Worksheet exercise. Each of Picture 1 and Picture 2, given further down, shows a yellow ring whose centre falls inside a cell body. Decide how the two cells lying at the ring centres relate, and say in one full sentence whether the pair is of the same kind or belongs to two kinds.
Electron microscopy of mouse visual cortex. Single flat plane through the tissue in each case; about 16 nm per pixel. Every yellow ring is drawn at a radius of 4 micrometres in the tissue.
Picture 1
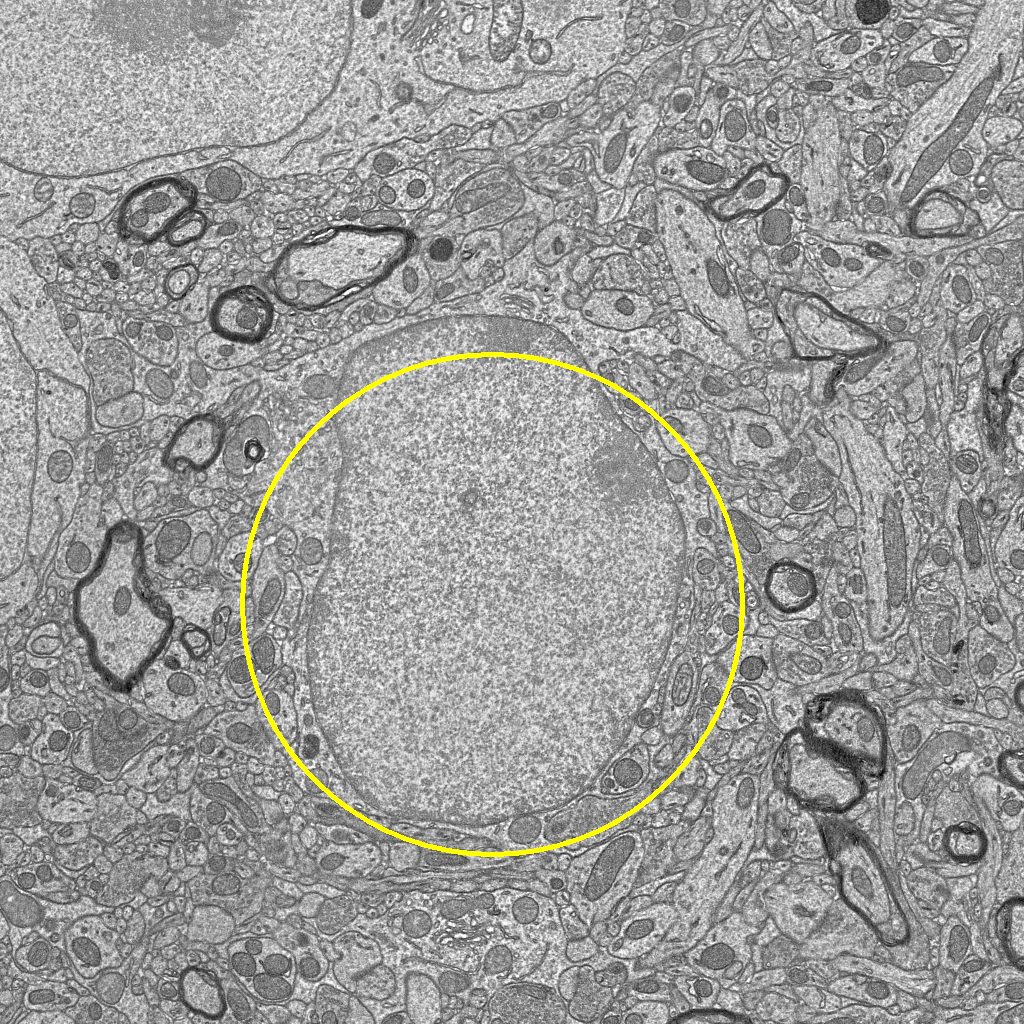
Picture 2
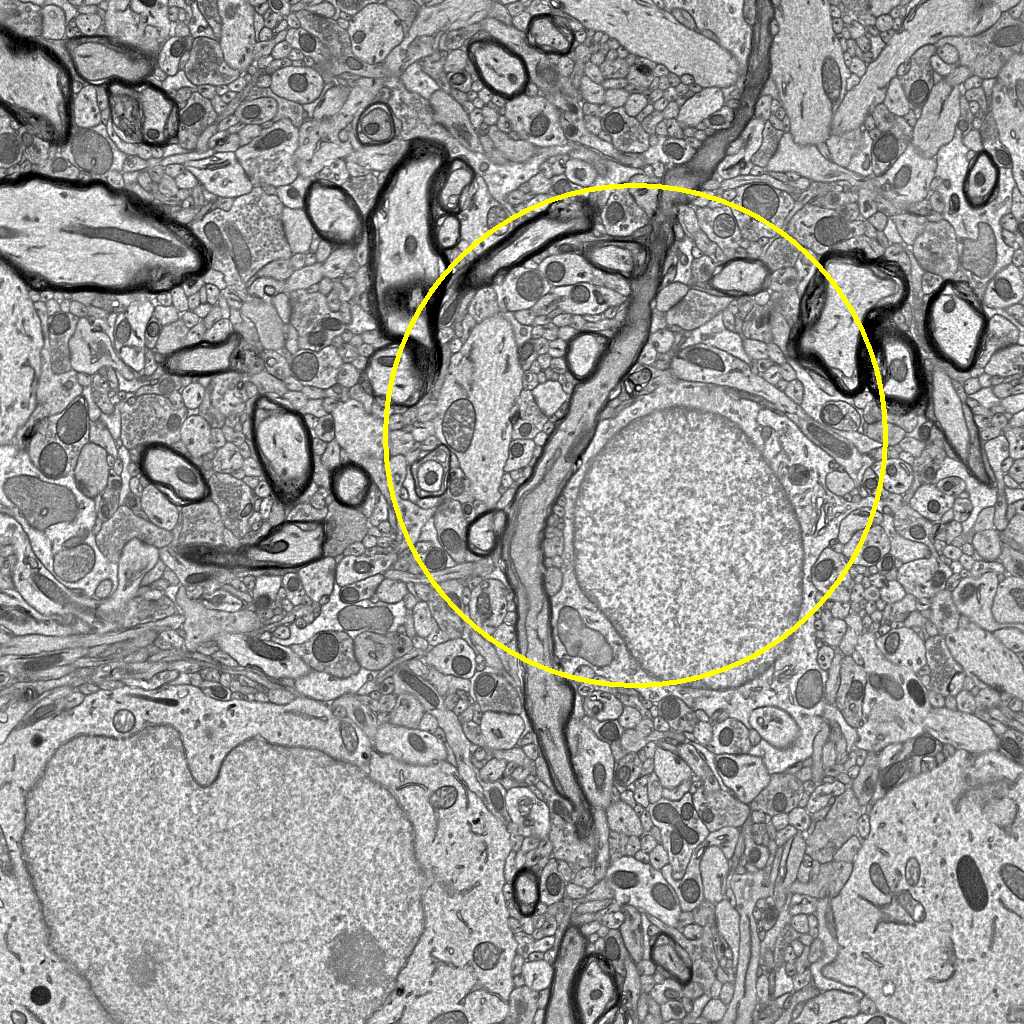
The cells at the ring centres in Picture 1 and Picture 2 are of the same kind.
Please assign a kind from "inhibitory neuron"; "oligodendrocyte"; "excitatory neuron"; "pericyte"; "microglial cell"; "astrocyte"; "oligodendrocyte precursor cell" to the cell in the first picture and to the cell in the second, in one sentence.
Each cell, in the first picture and the second, is an astrocyte.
